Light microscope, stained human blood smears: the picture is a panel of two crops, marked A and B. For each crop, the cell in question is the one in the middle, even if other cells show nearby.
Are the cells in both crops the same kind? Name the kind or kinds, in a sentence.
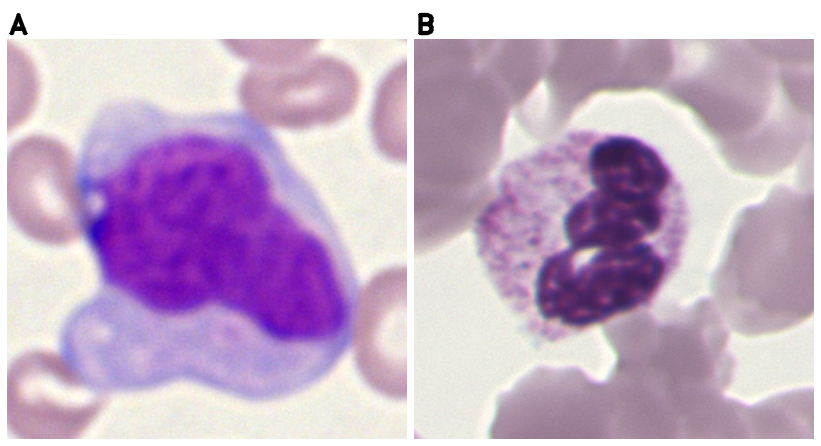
No, it is crop A that shows a monocyte, and crop B that shows a segmented neutrophil.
